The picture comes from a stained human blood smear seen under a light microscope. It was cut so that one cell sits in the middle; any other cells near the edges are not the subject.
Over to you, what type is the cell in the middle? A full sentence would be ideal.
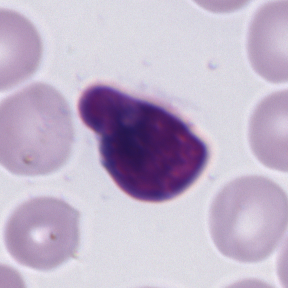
The cell the crop is centered on is a smudge cell.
